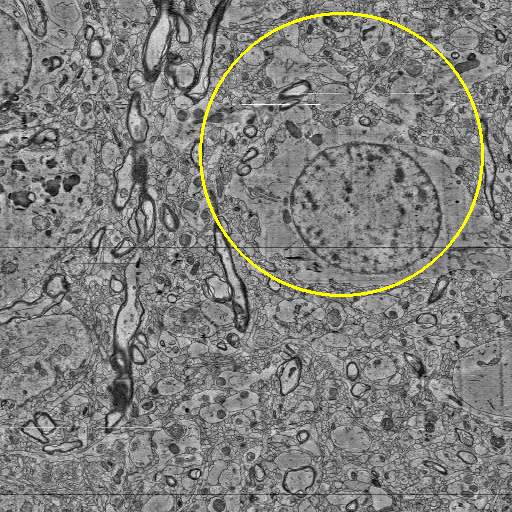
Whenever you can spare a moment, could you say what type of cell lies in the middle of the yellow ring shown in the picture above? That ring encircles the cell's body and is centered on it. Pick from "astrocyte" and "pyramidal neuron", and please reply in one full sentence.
The cell whose body sits at the middle of the yellow ring is an astrocyte.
